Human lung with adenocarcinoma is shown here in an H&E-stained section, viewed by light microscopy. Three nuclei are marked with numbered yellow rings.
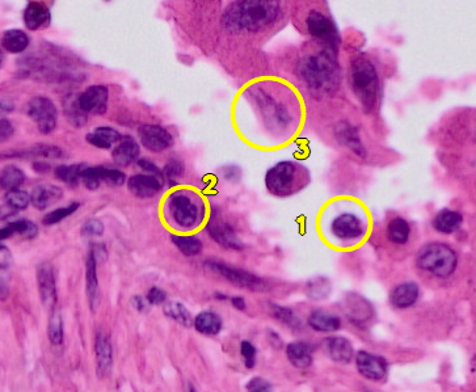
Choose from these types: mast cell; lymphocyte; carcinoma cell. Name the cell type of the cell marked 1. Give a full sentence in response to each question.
The one labeled 1 is a lymphocyte, to put it simply.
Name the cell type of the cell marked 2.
The cell that goes by number 2 is a lymphocyte.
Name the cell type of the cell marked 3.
The identity of cell 3 is that of a carcinoma cell.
